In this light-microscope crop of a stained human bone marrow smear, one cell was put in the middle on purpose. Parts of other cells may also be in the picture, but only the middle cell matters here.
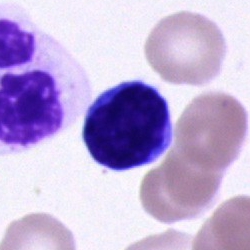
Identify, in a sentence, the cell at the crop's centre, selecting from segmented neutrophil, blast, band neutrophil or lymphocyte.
In the central position of this crop, the cell is a lymphocyte.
